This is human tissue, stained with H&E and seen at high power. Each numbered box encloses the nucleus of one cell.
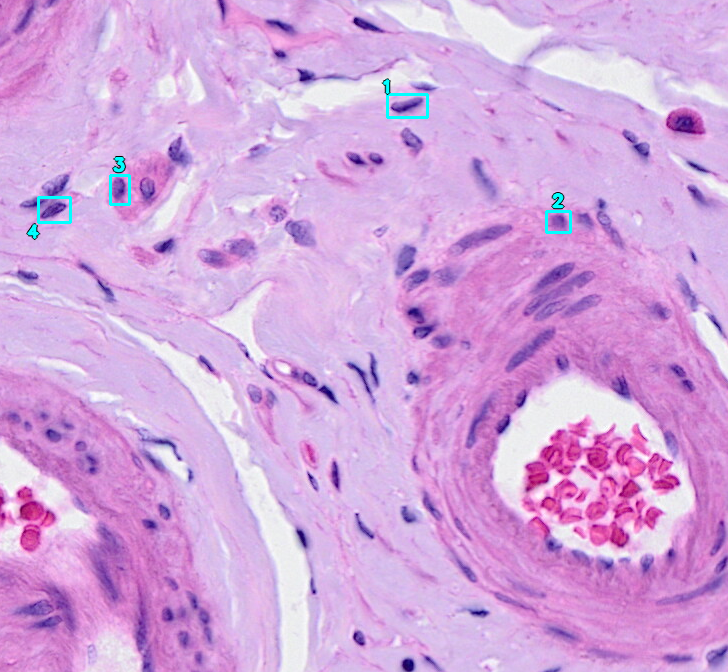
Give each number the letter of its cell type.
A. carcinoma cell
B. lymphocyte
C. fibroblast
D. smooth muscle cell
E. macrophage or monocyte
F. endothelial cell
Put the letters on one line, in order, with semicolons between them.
C; D; D; C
